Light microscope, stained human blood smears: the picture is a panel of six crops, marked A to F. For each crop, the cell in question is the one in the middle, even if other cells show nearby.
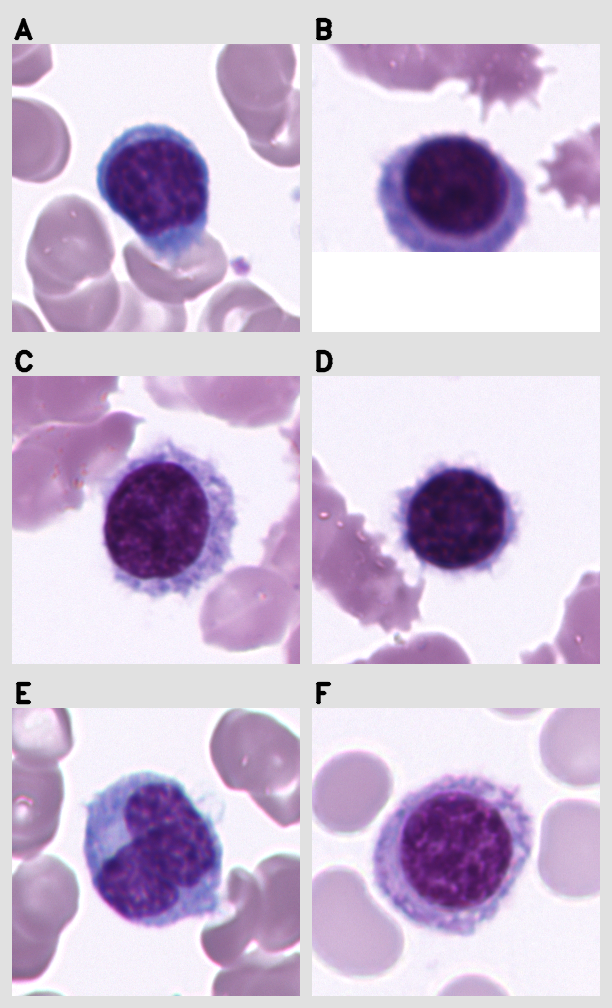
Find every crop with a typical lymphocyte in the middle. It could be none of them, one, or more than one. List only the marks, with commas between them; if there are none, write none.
A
